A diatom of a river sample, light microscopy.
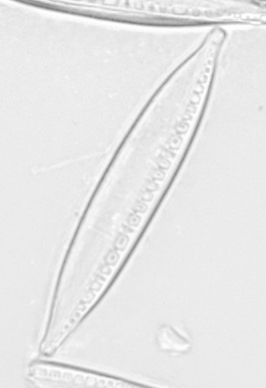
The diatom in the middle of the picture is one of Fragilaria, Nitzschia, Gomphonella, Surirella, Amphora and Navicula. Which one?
Nitzschia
